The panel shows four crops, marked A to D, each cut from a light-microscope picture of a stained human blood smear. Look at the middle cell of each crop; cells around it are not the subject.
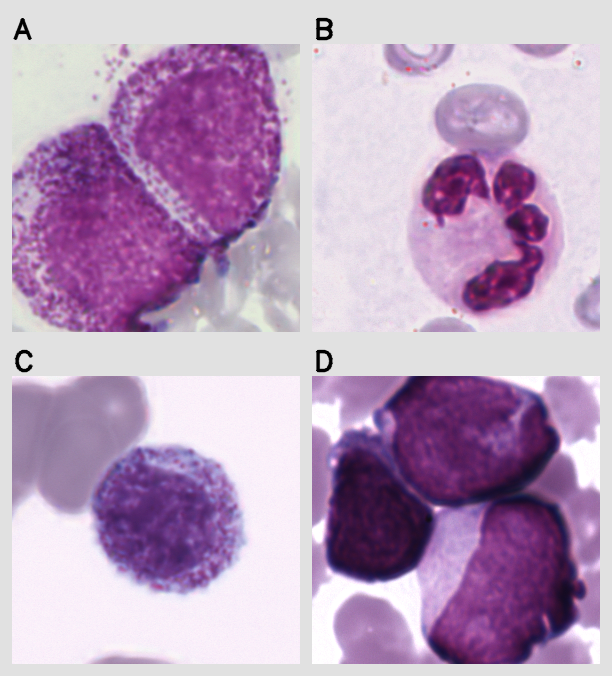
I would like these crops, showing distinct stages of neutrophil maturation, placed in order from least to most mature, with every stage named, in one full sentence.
Arranged from least mature to most mature, the sequence reads crop D (a blast), crop A (a promyelocyte), crop C (a myelocyte) and crop B (a segmented neutrophil).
